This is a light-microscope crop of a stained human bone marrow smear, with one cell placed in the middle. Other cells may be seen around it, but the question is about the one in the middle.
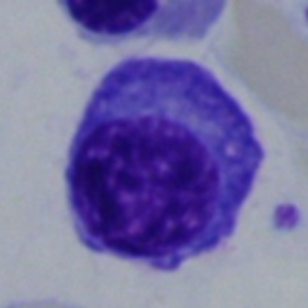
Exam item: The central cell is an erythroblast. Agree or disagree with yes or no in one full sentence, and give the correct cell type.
No, it is a plasma cell, not an erythroblast, that lies at the centre of the crop.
